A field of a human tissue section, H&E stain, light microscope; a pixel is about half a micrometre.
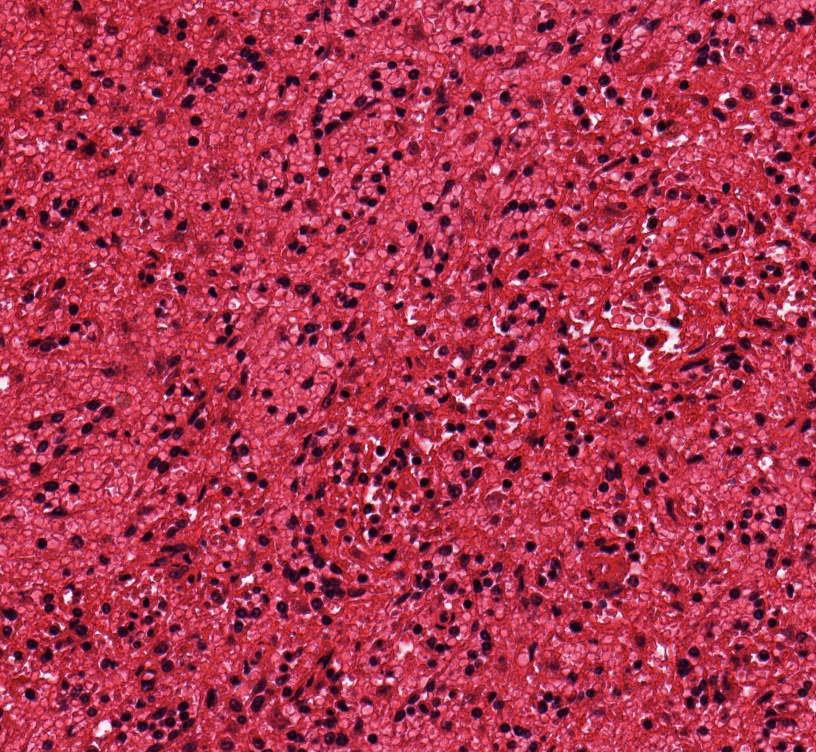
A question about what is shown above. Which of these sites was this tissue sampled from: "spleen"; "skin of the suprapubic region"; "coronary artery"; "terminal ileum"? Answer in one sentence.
The site this tissue was sampled from is the spleen.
